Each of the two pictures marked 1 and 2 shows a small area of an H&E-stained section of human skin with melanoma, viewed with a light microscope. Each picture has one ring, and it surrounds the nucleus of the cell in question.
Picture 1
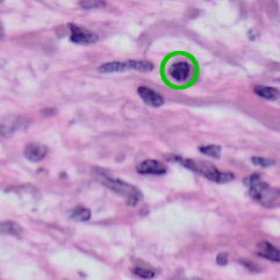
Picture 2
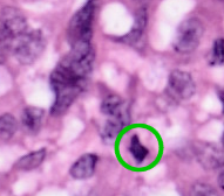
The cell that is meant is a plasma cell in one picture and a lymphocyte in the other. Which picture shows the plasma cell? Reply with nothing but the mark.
1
